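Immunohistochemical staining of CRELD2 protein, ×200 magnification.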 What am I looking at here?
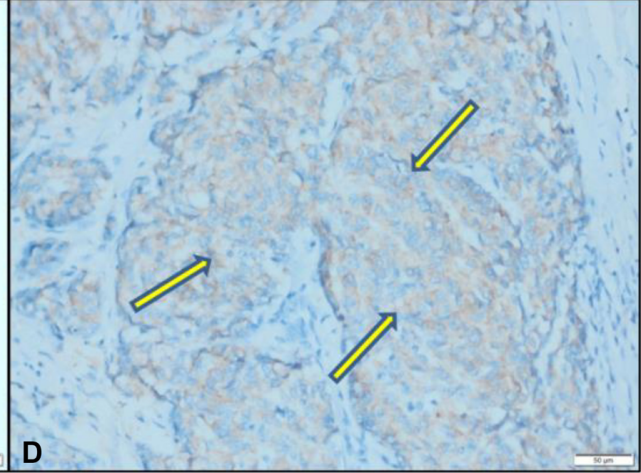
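Large rounded nests of closely packed tumor cells are seen, with blue nuclei and light brown, finely granular cytoplasm in most of the cells. Thin bands of pale fibrous stroma with elongated nuclei run between the nests. The brown colour spreads across nearly the whole of each nest rather than a few scattered cells.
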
